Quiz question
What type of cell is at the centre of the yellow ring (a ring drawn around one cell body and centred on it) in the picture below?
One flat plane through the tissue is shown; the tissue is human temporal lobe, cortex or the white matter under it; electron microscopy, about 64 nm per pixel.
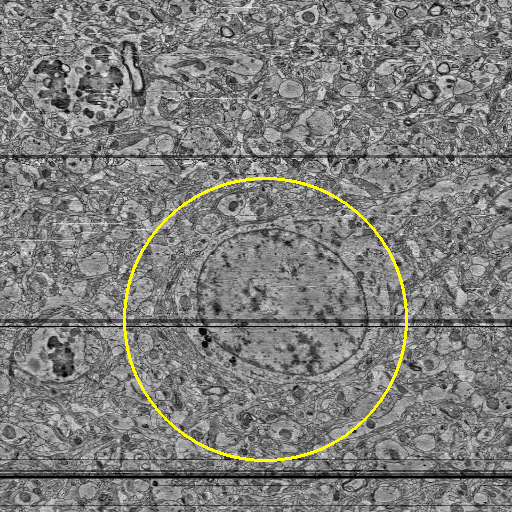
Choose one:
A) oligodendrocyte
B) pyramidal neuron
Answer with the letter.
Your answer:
B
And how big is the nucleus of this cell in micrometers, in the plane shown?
In this plane, roughly 11 by 9 micrometres.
